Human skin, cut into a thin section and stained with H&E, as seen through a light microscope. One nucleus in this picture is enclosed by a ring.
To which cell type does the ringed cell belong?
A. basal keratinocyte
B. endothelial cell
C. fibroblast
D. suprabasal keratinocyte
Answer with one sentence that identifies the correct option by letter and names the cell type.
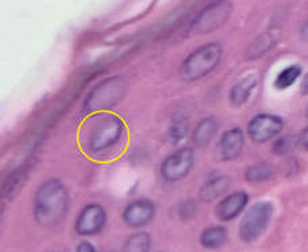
The proper choice here is D: the ringed cell is a suprabasal keratinocyte.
